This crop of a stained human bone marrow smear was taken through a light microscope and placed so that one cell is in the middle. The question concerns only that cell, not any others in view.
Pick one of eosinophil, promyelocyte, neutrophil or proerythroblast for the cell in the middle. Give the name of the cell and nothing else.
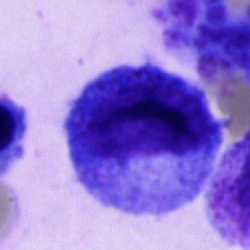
promyelocyte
